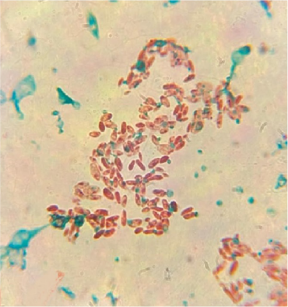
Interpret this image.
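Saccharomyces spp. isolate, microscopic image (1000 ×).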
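The cells are oval to elongated, some clearly longer than wide, and several appear joined end to end or budding. Scattered between the cell groups are irregular blue-green deposits of varying size, some of them large and amorphous, lying apart from or at the edge of the red cell clusters. Small, faint specks are scattered over the background.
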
